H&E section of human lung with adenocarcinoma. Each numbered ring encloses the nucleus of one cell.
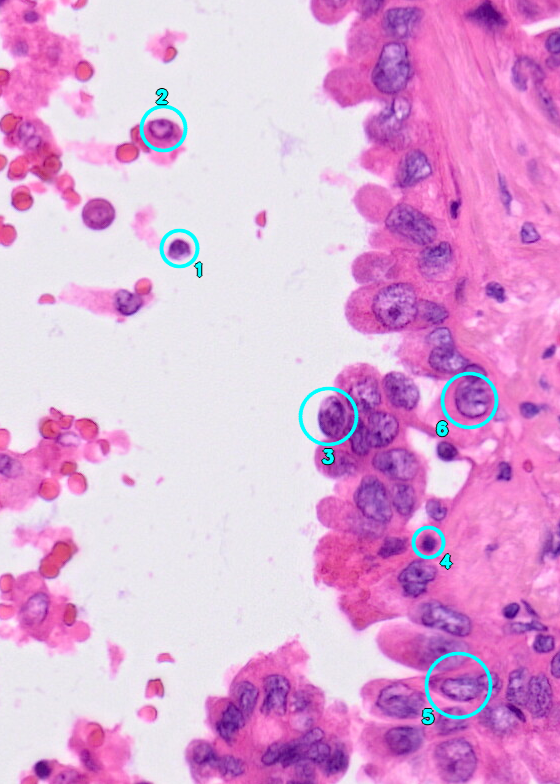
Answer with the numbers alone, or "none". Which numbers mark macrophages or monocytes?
2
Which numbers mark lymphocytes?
1, 4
